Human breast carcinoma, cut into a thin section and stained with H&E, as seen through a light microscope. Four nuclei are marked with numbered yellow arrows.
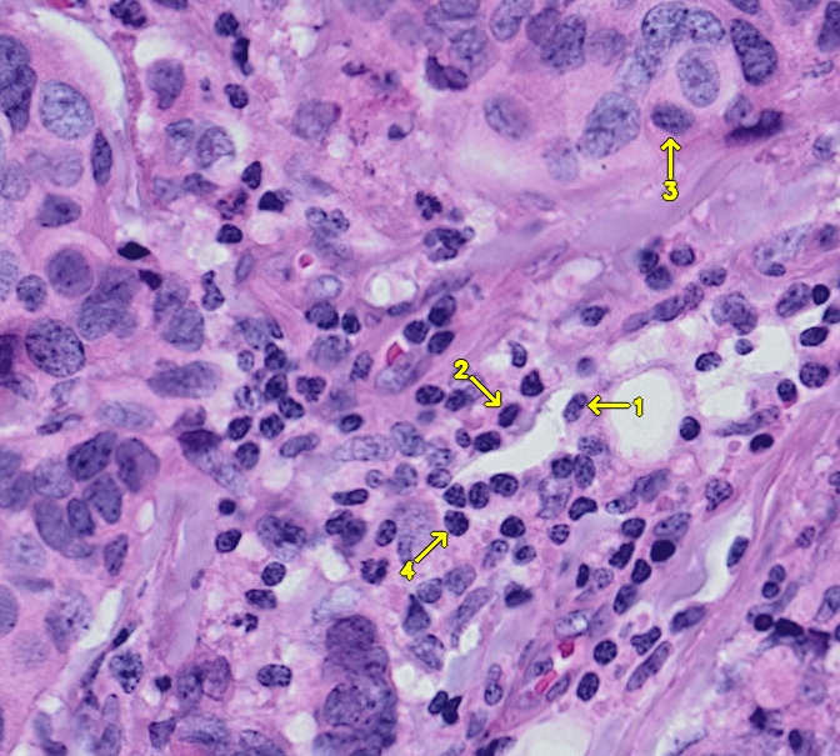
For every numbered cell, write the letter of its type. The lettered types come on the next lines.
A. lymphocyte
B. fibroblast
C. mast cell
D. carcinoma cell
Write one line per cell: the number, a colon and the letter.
1: A
2: A
3: D
4: A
